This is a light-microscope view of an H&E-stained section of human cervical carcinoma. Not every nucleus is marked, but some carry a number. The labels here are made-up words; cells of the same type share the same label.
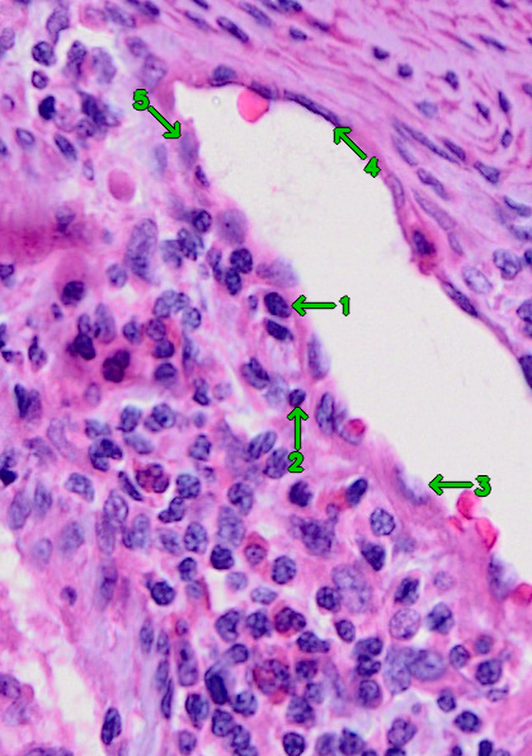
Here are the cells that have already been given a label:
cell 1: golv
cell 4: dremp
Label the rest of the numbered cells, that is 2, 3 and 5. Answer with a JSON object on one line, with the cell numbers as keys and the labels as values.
{"2": "golv", "3": "dremp", "5": "dremp"}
